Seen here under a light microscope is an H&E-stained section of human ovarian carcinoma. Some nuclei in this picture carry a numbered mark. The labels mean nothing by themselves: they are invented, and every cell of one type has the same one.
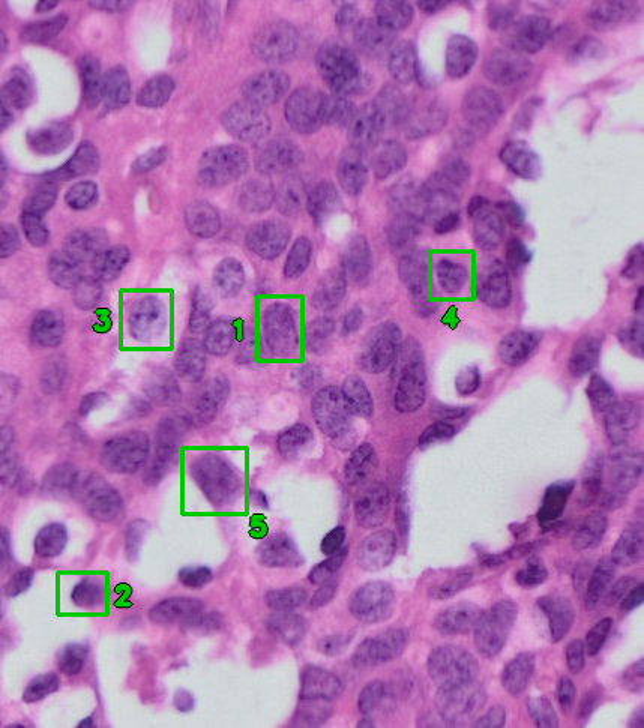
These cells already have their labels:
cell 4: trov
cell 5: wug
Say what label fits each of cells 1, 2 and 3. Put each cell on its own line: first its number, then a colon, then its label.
1: wug
2: wug
3: trov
